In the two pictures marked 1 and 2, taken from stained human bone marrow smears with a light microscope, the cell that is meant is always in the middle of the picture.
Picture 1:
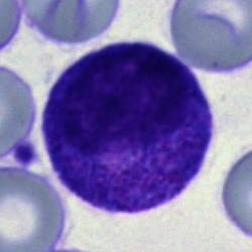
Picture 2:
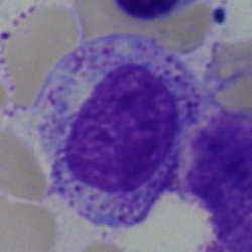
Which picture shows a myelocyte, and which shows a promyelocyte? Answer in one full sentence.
Picture 1 shows a promyelocyte and picture 2 shows a myelocyte.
